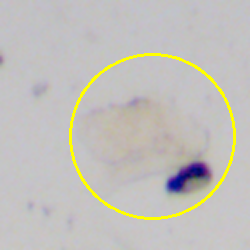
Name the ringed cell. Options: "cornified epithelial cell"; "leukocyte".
cornified epithelial cell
